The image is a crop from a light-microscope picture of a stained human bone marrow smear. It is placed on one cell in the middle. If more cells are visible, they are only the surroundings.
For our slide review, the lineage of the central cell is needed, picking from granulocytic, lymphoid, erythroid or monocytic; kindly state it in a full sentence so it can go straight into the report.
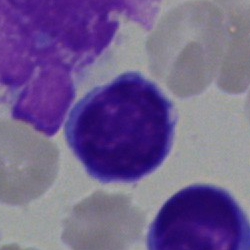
The cell occupying the center of the frame is part of the lymphoid lineage.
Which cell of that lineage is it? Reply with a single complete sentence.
The cell positioned in the middle of the field is a lymphocyte.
